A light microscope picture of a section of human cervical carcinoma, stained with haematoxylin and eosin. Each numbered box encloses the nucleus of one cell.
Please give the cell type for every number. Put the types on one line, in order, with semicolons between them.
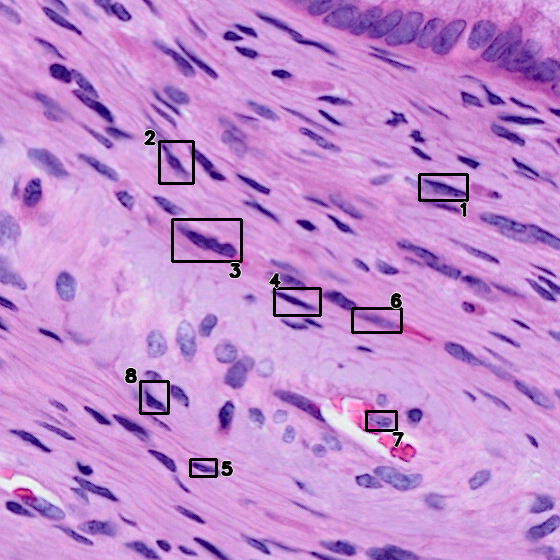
fibroblast; fibroblast; endothelial cell; fibroblast; fibroblast; endothelial cell; endothelial cell; fibroblast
